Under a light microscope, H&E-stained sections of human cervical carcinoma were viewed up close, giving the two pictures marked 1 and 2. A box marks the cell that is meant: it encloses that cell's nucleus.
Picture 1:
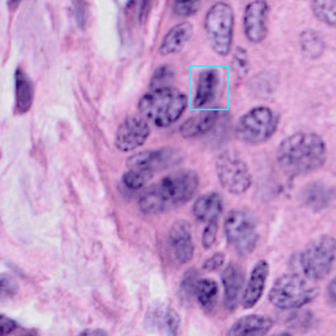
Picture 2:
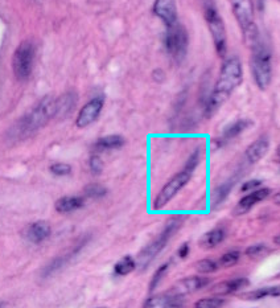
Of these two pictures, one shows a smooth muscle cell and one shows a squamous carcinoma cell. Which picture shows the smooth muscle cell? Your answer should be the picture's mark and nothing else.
2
